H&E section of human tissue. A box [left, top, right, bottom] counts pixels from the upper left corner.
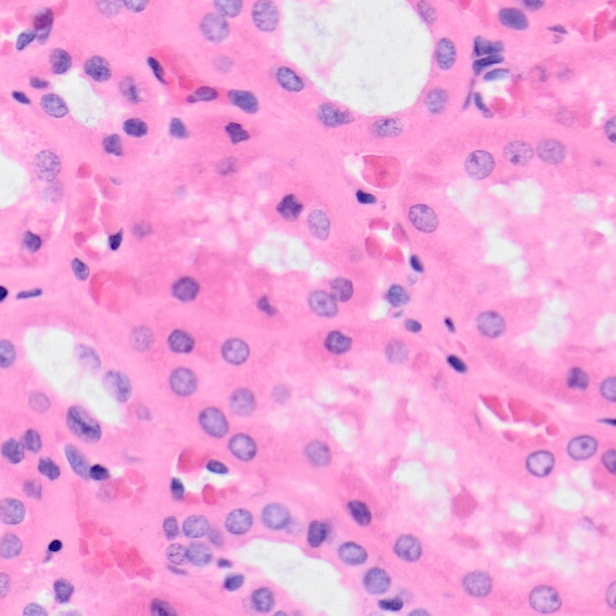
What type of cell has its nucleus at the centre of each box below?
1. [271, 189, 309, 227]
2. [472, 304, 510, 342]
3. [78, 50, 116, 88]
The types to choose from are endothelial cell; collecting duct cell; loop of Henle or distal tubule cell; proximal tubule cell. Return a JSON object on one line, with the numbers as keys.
{"1": "proximal tubule cell", "2": "proximal tubule cell", "3": "loop of Henle or distal tubule cell"}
